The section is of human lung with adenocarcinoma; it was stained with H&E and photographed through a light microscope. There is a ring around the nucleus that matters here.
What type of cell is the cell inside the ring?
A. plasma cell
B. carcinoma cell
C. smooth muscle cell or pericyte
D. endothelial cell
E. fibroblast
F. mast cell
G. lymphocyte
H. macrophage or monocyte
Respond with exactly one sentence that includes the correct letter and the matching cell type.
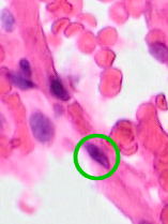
Exactly as option D gives it, the cell inside the ring is an endothelial cell.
